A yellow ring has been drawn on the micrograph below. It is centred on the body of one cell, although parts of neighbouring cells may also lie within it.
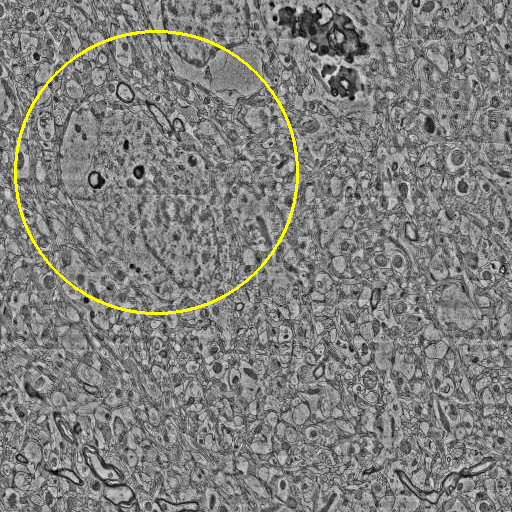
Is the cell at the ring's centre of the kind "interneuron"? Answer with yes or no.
yes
